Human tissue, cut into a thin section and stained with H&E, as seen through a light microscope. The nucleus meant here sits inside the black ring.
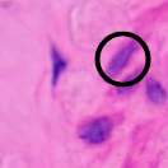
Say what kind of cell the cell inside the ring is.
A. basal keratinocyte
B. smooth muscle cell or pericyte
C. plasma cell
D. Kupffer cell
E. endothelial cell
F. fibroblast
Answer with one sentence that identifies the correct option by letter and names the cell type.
Option B describes the cell inside the ring accurately as a smooth muscle cell or pericyte.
